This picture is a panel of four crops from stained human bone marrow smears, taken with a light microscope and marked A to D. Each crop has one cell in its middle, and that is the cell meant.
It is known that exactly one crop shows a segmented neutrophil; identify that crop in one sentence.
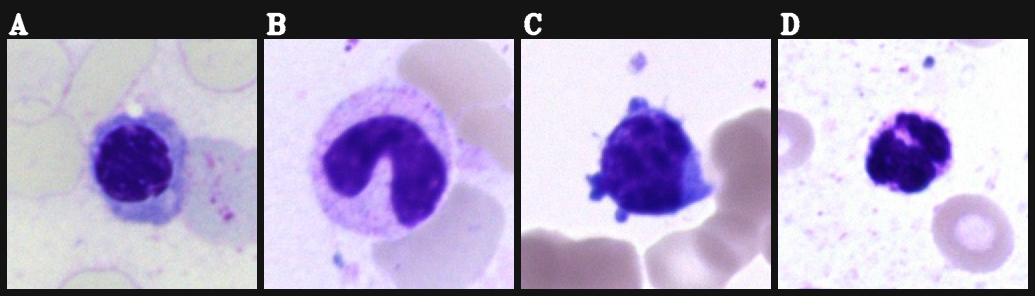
The cell identified as a segmented neutrophil is the one in crop D.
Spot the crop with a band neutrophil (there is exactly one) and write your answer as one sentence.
So the crop with a band neutrophil at its center is crop B.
